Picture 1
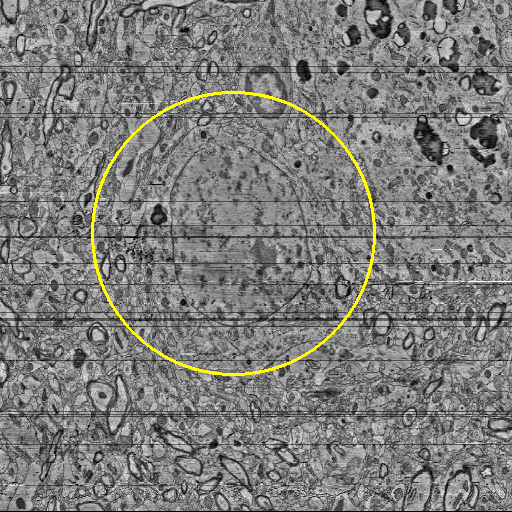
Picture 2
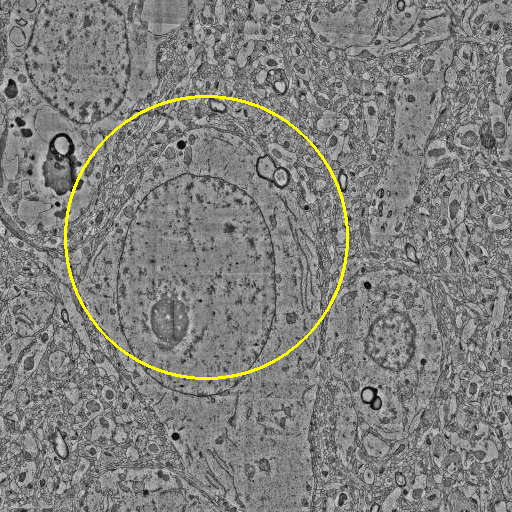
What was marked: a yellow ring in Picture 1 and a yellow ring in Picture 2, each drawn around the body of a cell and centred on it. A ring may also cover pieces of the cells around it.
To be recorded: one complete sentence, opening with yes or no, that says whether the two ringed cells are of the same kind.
Yes, the two ringed cells are of the same kind.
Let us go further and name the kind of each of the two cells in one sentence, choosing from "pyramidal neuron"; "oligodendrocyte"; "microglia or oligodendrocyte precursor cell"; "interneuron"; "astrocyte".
Both pictures show a pyramidal neuron at the centre of the ring.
